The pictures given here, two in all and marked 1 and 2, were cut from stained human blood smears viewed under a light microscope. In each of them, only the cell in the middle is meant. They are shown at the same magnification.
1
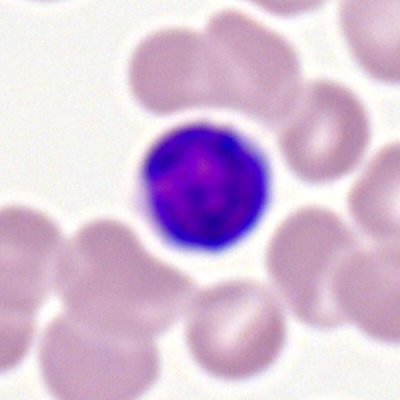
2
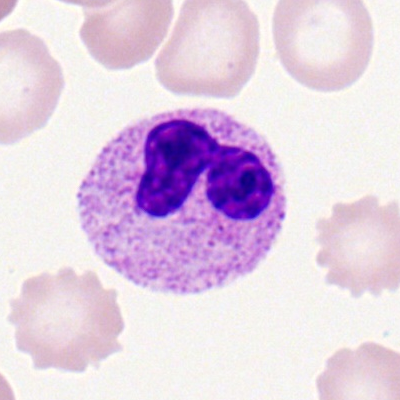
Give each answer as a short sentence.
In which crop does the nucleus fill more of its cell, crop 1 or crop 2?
The nucleus fills more of the cell in crop 1 than in crop 2.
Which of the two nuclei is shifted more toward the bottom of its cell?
Seen within its cell, the nucleus in crop 1 lies further toward the bottom.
